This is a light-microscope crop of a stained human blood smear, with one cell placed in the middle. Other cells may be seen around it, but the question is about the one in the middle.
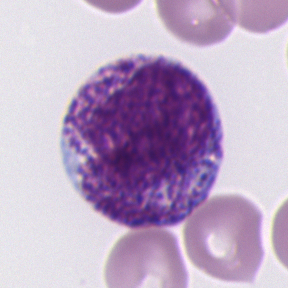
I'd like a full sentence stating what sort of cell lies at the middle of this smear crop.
Among the cells in view, the one in the middle is a myelocyte.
